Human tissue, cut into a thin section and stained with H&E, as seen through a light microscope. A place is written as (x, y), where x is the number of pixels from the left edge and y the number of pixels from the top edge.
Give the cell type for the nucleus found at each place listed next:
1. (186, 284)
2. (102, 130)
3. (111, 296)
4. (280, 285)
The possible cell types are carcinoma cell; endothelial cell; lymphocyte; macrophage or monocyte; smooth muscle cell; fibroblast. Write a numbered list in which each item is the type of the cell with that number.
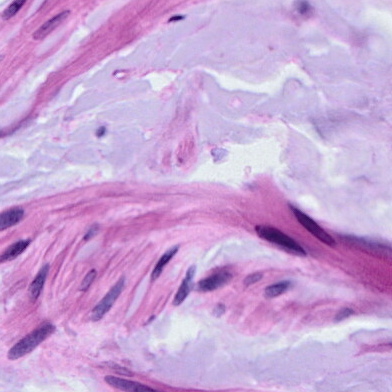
1. smooth muscle cell
2. lymphocyte
3. smooth muscle cell
4. smooth muscle cell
